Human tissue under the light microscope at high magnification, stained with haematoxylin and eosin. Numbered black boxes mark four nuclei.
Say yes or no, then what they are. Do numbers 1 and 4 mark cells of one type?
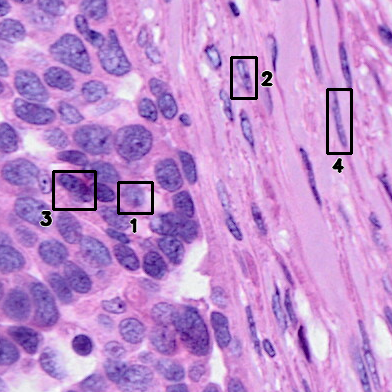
No, by type, cell 1 is a carcinoma cell and cell 4 is a fibroblast.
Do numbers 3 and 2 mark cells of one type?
No, cell 3 is a carcinoma cell, and cell 2, on the other hand, is a fibroblast.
